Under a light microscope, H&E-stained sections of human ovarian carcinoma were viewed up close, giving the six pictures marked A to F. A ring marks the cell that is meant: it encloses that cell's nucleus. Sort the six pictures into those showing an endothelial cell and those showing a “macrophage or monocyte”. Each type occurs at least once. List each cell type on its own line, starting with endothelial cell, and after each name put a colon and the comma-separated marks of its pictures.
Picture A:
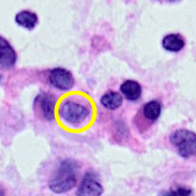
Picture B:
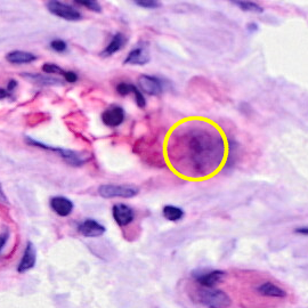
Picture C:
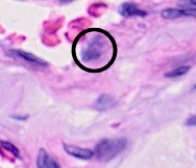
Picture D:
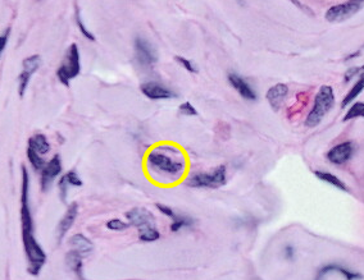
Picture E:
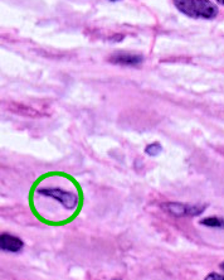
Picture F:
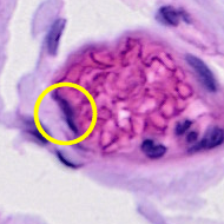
endothelial cell: B, C, D, F
macrophage or monocyte: A, E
